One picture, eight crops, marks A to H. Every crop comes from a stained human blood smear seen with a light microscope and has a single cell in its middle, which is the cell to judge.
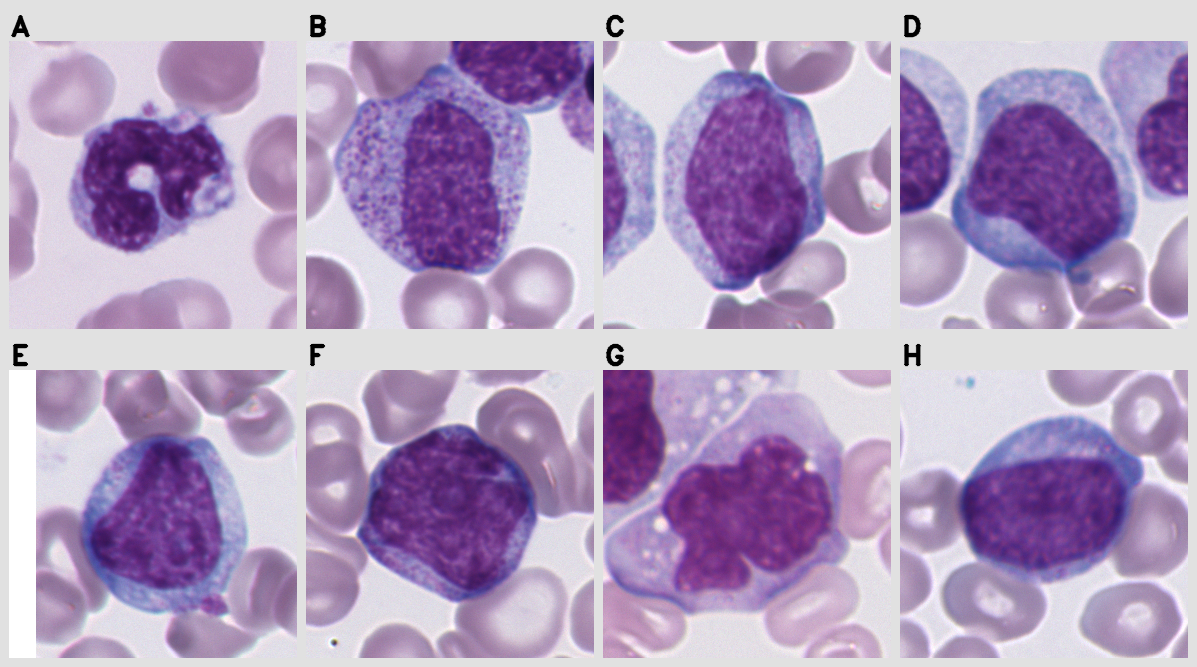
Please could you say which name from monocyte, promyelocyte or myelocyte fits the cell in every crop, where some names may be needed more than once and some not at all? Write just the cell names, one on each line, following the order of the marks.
monocyte
promyelocyte
promyelocyte
promyelocyte
promyelocyte
promyelocyte
monocyte
promyelocyte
